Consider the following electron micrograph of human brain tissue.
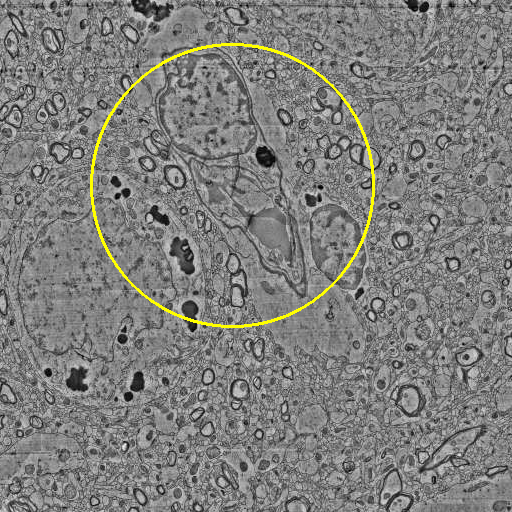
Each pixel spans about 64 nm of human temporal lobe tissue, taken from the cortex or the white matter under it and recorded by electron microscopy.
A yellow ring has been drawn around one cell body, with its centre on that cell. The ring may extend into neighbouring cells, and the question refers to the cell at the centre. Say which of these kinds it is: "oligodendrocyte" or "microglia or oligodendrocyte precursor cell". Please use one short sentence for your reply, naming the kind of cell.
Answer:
The centre of the ring falls on an oligodendrocyte.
